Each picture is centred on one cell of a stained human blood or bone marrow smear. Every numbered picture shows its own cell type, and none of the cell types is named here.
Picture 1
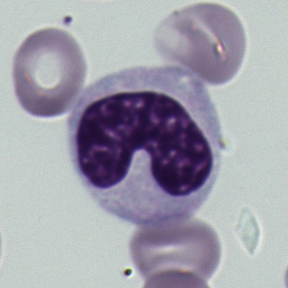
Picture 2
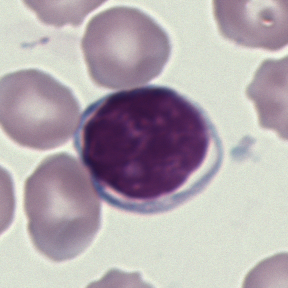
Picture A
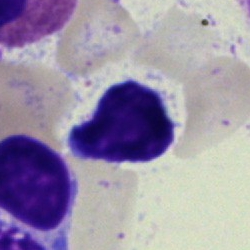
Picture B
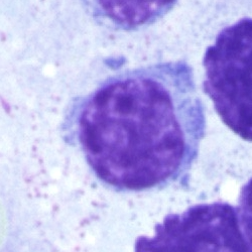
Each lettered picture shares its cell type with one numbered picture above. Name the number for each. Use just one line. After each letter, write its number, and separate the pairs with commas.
A 2, B 2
